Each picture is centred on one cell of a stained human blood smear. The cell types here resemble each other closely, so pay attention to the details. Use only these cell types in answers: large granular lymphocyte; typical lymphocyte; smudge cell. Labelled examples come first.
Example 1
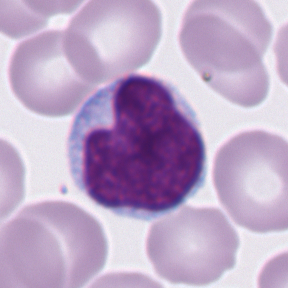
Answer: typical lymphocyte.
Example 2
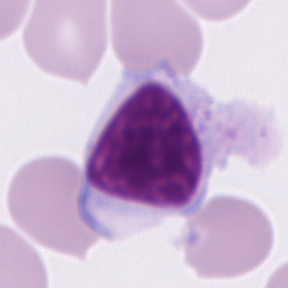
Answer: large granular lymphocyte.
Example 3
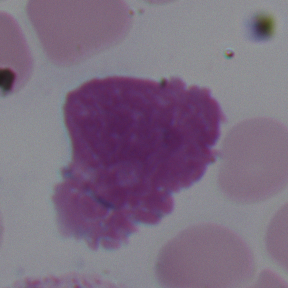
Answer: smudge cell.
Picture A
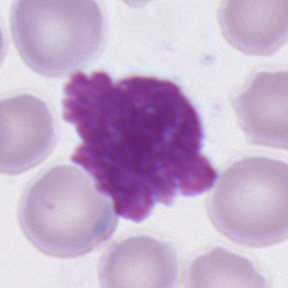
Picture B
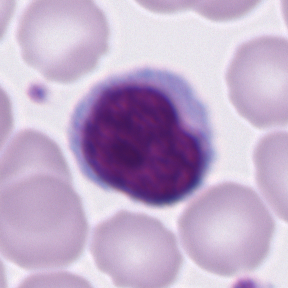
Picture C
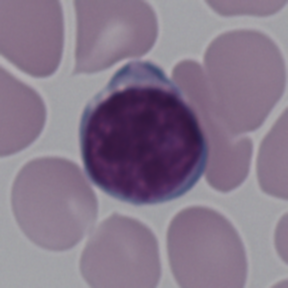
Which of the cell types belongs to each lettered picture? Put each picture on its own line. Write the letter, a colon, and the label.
A: smudge cell.
B: typical lymphocyte.
C: typical lymphocyte.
